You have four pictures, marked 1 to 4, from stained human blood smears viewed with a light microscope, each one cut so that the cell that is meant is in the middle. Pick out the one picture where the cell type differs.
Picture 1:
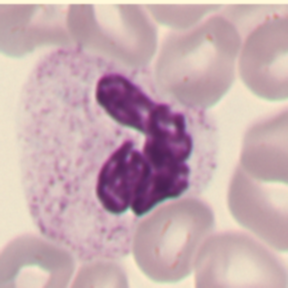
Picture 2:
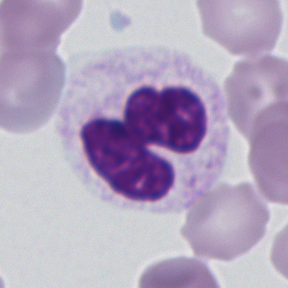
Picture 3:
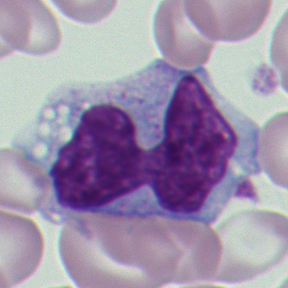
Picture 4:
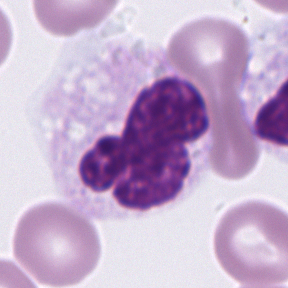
3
